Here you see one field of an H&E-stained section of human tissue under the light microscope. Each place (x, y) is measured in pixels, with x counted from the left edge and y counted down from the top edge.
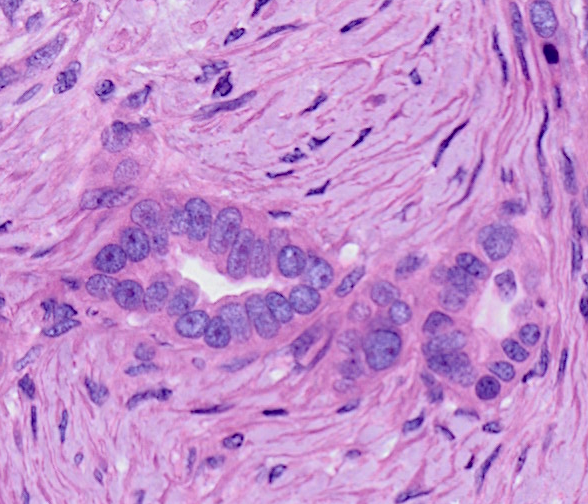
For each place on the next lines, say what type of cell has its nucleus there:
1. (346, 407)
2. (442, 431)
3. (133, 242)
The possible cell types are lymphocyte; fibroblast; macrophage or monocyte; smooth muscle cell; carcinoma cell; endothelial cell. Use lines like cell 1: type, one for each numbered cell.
cell 1: fibroblast
cell 2: fibroblast
cell 3: carcinoma cell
